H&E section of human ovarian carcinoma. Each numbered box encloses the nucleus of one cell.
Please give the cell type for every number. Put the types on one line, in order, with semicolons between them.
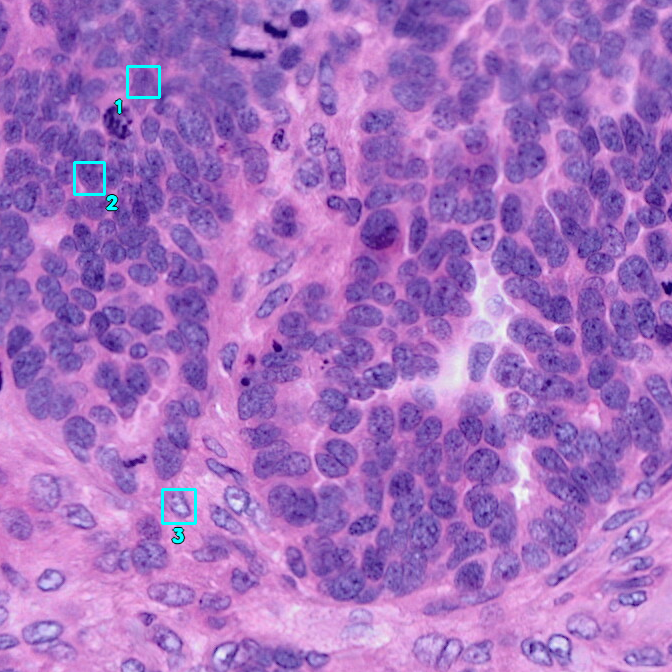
carcinoma cell; carcinoma cell; fibroblast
